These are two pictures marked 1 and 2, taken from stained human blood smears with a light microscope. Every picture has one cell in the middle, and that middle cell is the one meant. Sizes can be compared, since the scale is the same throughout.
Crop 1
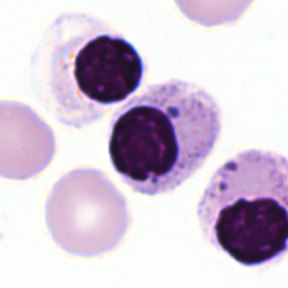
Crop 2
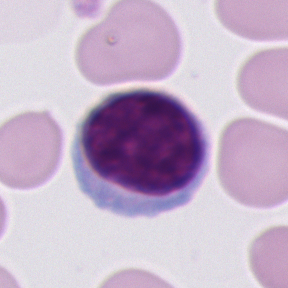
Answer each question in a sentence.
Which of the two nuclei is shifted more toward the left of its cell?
In crop 1 the nucleus is shifted more toward the left.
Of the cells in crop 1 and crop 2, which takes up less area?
Crop 1 holds the smaller cell, since the cell in crop 2 covers about 1.5 times as much area.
